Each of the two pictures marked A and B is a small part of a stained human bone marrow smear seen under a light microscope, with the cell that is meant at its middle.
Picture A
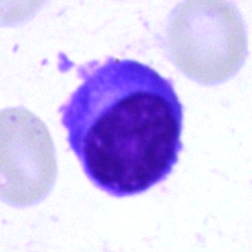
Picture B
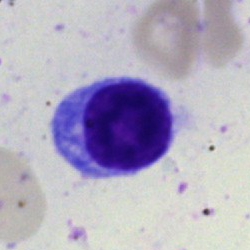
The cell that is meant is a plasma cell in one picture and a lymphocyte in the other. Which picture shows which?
A: plasma cell
B: lymphocyte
